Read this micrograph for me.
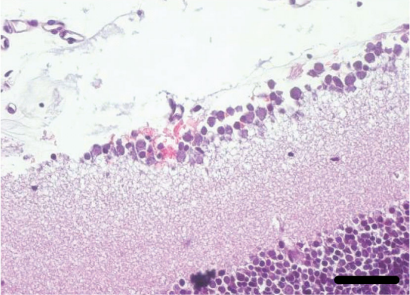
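This haematoxylin and eosin section shows the inner retina with the ganglion cell layer along the upper edge. The ganglion cell layer is a loose row of rounded cells with purple nuclei, some larger and paler than others, lying on a broad pale pink fibrillar layer. Among these cells is a patch of bright red, anucleate material, consistent with haemorrhage outside the vessels. Below the fibrillar layer, at the lower right, densely packed small dark nuclei of the inner nuclear layer appear. Above the ganglion cells the space is largely empty with a few loose strands of tissue.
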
